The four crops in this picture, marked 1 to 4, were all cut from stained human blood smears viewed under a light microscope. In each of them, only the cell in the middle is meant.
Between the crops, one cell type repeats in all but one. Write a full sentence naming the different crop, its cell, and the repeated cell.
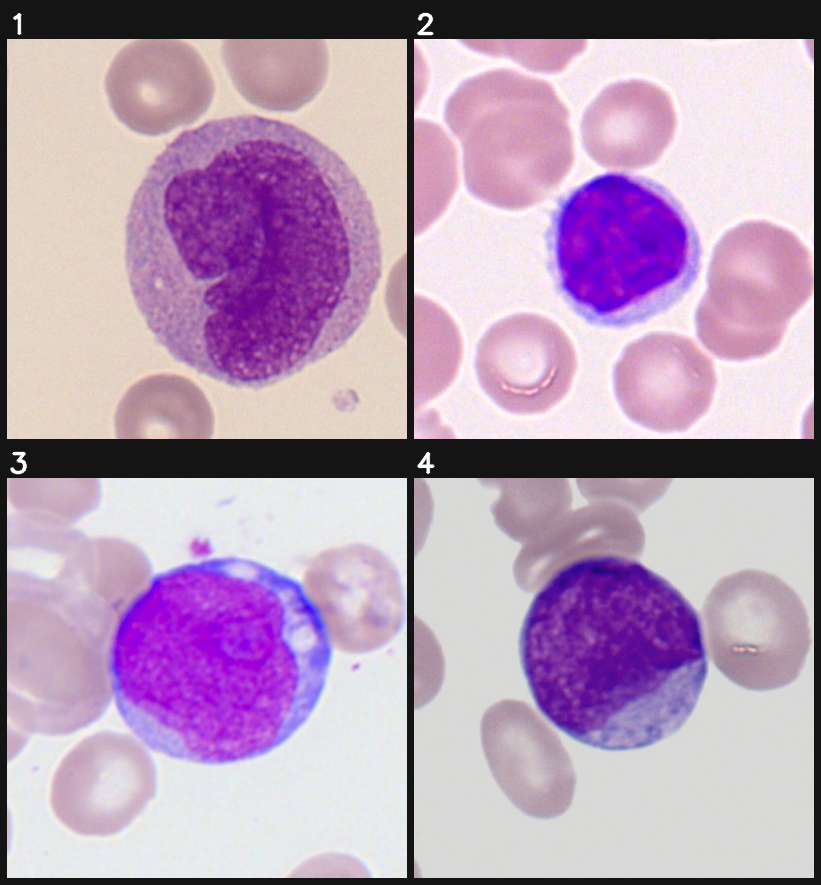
Crop 2 is a lymphocyte, while the rest of the set consists of blasts.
